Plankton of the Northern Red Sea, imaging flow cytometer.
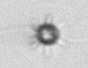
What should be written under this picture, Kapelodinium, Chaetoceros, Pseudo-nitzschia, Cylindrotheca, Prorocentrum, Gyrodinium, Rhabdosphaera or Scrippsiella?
Rhabdosphaera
